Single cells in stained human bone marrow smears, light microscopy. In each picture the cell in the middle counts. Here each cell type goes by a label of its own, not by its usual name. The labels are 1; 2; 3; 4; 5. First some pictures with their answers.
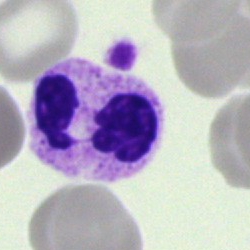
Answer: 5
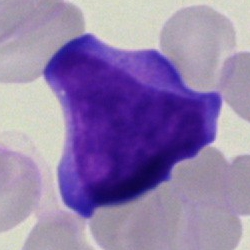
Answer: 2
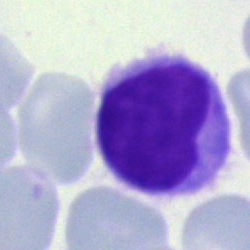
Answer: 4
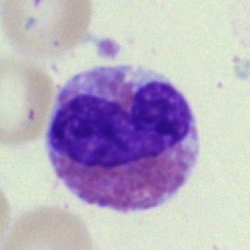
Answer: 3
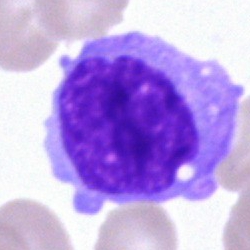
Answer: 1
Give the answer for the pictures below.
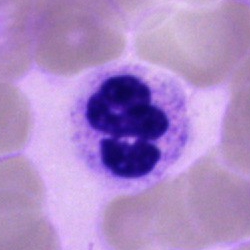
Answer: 5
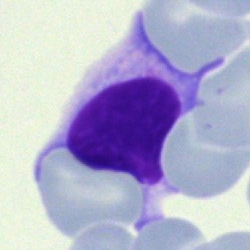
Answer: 4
